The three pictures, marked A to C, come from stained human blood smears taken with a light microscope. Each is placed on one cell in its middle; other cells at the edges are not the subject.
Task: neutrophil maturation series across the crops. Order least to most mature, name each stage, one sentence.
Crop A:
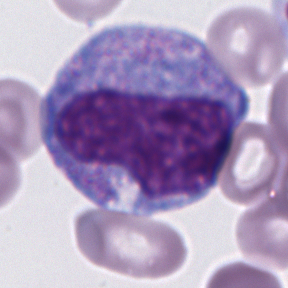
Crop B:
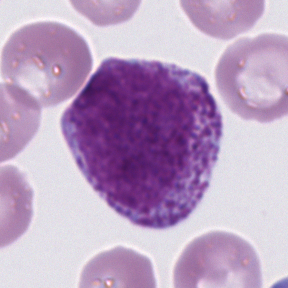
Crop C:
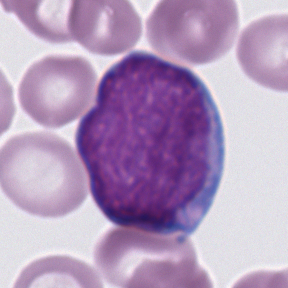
When ranked by maturity from lowest to highest, the order is crop C (a blast), crop A (a promyelocyte) and crop B (a myelocyte).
